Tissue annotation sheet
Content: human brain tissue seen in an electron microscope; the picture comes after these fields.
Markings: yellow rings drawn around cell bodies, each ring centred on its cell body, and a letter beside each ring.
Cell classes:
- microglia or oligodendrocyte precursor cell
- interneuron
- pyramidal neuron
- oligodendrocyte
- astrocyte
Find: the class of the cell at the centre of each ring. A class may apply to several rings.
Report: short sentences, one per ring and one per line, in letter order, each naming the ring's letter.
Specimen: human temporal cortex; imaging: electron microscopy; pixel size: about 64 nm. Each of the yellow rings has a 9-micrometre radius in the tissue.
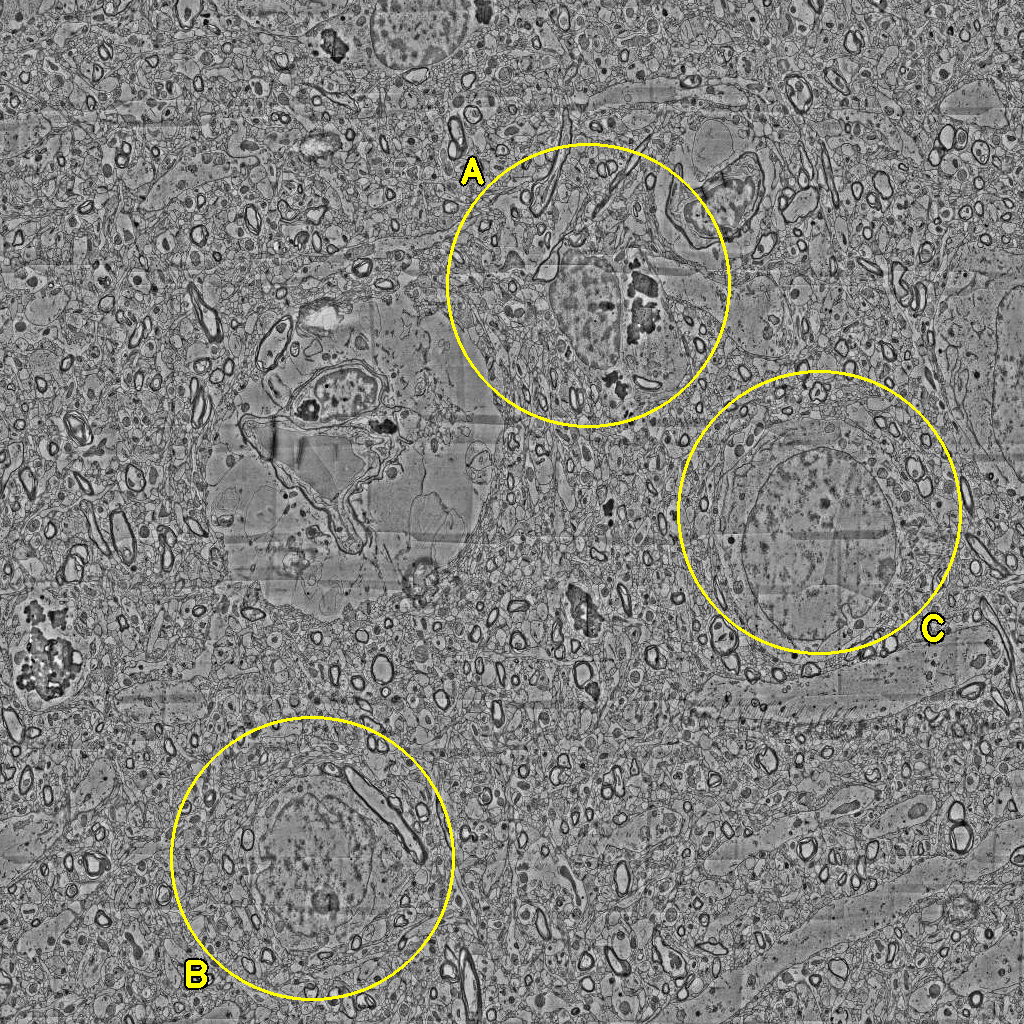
Ring A holds an oligodendrocyte at its centre.
Ring B holds an interneuron at its centre.
Ring C holds a pyramidal neuron at its centre.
